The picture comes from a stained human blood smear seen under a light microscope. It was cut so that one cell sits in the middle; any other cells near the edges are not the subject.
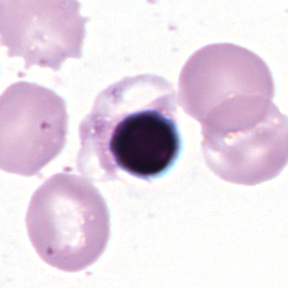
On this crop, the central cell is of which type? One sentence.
At the crop's centre, the cell is a normoblast.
